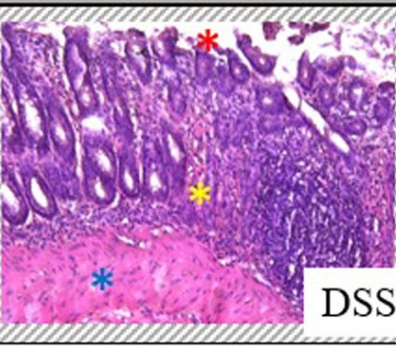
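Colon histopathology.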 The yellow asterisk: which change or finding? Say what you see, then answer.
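Crypts are absent in that region, unlike the crypts to its left.
Answer: increased cellularity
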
